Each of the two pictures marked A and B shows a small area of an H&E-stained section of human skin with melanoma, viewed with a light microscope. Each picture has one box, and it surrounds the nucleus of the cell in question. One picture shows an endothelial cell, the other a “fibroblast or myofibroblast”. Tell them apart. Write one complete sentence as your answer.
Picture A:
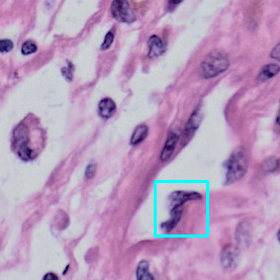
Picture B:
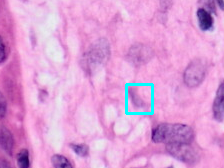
It is picture A that shows an endothelial cell, and picture B that shows a “fibroblast or myofibroblast”.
